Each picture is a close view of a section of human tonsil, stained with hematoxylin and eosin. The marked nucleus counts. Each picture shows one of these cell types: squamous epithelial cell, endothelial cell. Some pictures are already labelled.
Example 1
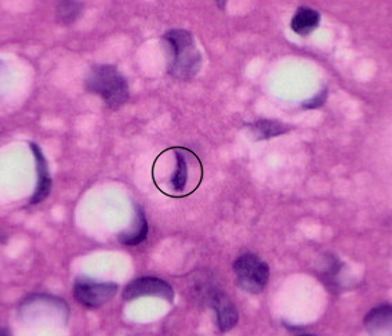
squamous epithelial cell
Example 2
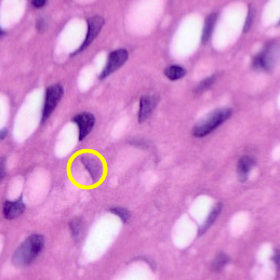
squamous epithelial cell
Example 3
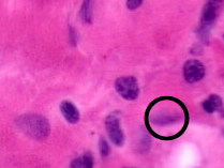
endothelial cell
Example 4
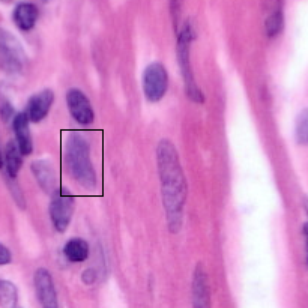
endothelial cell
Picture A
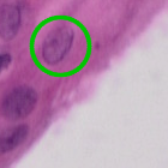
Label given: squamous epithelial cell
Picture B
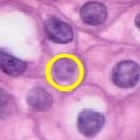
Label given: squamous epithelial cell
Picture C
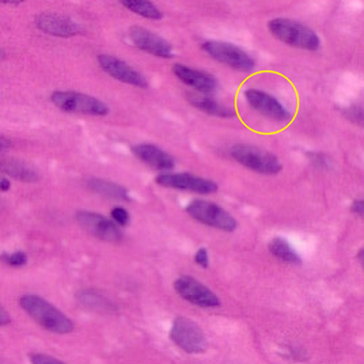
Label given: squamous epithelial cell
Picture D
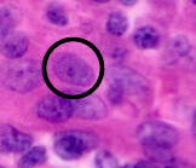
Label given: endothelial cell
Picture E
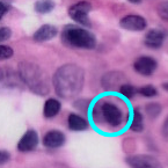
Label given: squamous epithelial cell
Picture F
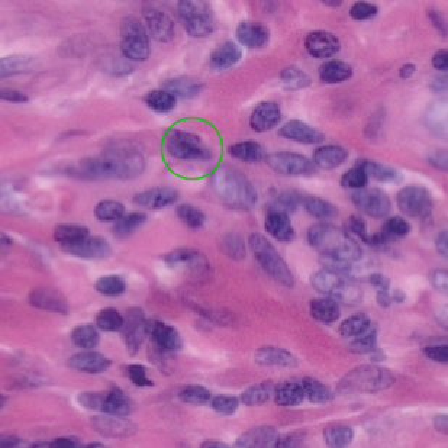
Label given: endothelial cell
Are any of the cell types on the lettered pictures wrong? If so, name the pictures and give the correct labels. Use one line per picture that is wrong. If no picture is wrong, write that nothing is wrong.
E is labelled squamous epithelial cell; correct label: endothelial cell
